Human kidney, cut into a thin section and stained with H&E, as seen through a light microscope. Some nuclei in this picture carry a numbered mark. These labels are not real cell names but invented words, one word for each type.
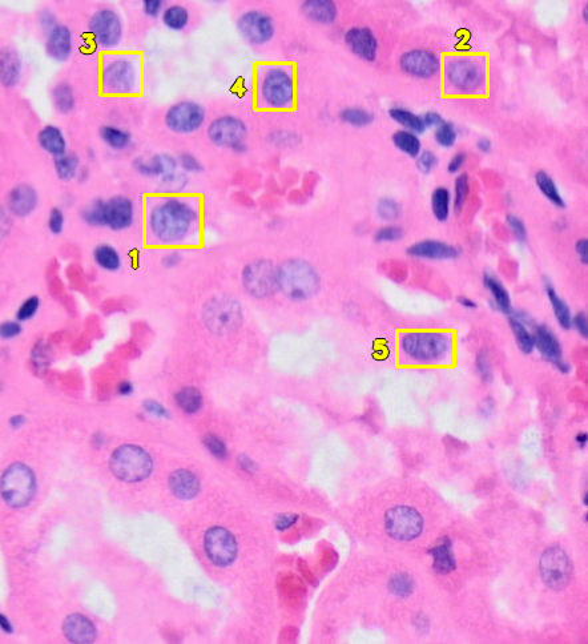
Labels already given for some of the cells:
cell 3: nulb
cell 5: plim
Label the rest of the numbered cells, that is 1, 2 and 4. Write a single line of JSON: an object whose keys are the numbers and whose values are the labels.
{"1": "nulb", "2": "plim", "4": "nulb"}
